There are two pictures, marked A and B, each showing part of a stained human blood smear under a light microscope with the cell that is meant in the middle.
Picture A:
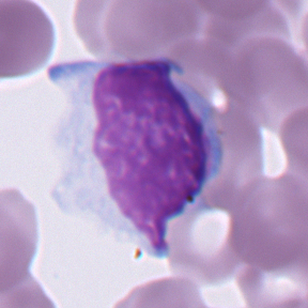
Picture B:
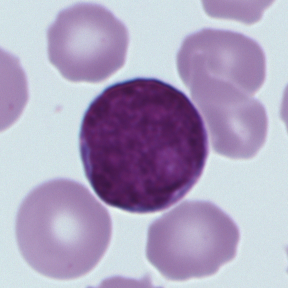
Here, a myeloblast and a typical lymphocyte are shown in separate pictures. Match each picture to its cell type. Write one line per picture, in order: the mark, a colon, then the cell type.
A: typical lymphocyte
B: myeloblast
